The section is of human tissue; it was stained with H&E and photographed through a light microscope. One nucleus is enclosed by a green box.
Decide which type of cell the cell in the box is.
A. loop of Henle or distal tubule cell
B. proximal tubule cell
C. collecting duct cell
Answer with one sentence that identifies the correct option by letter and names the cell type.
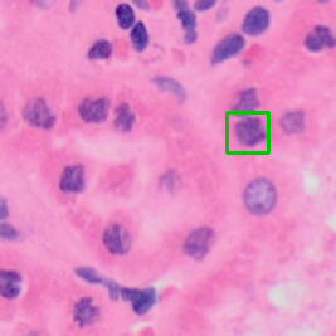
Option B gives the correct identity of the cell in the box, which is a proximal tubule cell.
